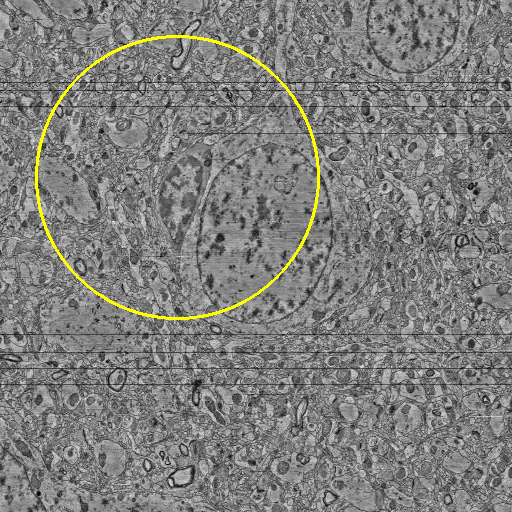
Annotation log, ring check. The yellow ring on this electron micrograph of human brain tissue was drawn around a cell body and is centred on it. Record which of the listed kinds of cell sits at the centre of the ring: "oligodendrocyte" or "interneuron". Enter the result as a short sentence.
The cell at the centre of the ring is an oligodendrocyte.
